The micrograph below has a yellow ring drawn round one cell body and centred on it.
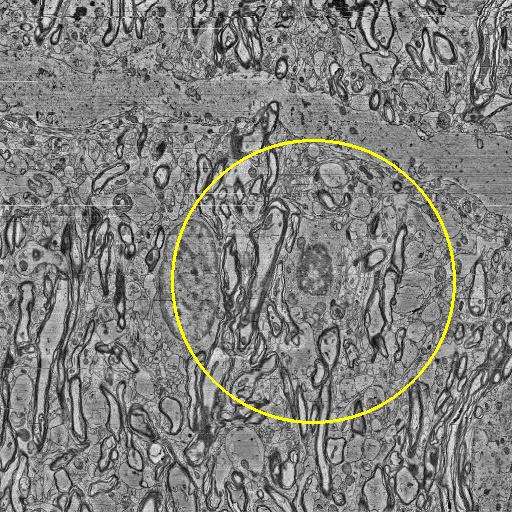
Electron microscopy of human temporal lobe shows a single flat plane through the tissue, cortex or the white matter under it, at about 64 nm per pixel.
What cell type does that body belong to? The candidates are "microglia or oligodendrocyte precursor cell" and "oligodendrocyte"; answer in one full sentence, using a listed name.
This is an oligodendrocyte, the cell whose body lies at the centre of the ring.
